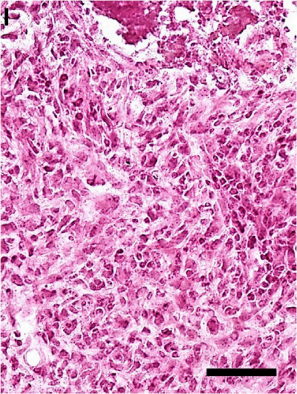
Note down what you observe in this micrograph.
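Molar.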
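Inflamed dental pulp at high magnification is densely packed with cells, so that little pale matrix remains between them. Many nuclei are small, dark and irregular, crowded among plumper cells with pink cytoplasm. Clumps of deep red material lie at the upper edge of the field.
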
